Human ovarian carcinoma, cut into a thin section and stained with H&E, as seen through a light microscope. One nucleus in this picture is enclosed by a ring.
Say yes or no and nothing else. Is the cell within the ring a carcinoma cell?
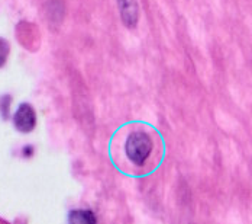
no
